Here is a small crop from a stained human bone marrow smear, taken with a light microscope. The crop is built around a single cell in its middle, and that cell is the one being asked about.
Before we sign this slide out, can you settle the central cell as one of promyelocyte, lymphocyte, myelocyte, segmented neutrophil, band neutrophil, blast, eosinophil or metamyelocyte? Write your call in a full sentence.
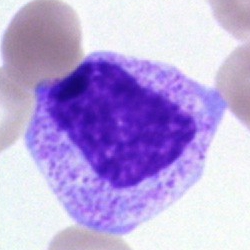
By classification, the middle cell of this crop is a myelocyte.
